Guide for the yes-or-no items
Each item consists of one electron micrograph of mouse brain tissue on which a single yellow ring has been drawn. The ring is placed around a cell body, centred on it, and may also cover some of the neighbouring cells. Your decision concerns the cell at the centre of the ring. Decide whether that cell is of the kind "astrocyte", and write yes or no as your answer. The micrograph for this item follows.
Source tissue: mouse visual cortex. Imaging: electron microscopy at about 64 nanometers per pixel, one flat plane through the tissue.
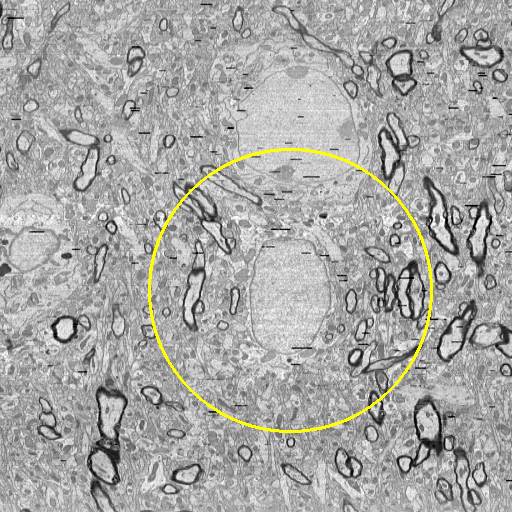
yes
